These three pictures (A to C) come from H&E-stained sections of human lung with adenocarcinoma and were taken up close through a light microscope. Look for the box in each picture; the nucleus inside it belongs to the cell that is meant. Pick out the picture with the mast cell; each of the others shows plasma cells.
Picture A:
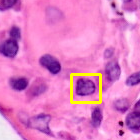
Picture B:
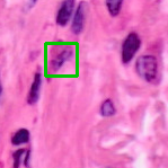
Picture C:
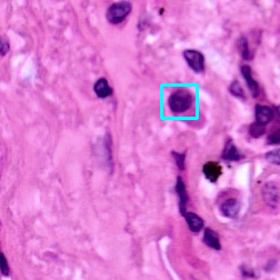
A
